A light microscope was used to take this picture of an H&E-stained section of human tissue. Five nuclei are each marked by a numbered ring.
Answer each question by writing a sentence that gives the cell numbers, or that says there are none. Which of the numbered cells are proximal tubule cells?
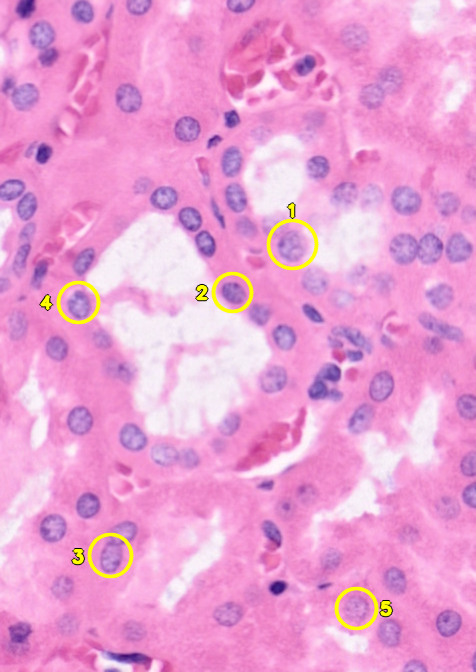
Each of the cells numbered 3 and 5 is among the proximal tubule cells.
